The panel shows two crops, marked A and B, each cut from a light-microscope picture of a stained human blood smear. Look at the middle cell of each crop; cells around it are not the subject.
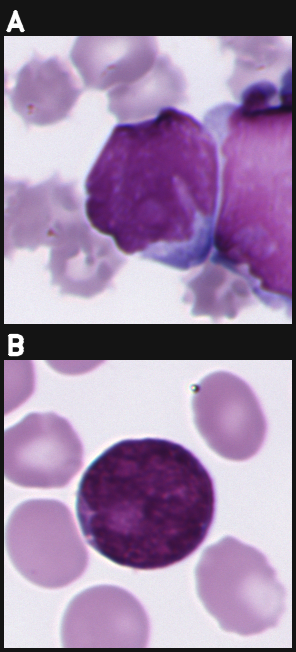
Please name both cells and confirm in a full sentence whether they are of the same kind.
Yes, it is myeloblasts that sit at the centre of both crops.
